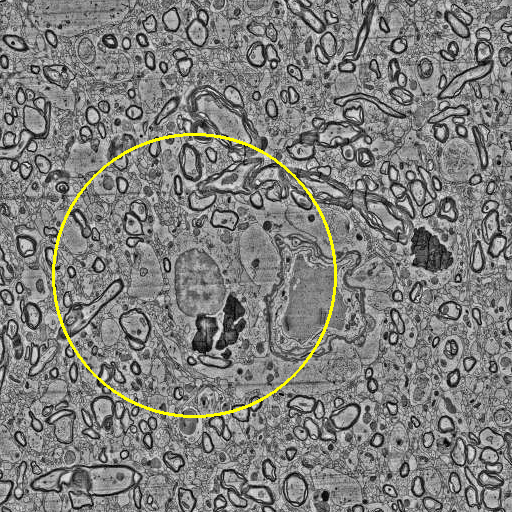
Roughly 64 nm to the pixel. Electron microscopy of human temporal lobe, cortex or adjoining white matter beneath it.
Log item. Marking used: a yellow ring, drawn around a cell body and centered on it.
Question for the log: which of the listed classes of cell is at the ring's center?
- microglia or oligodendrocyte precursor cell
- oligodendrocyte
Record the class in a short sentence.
At the center of the ring lies an oligodendrocyte.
